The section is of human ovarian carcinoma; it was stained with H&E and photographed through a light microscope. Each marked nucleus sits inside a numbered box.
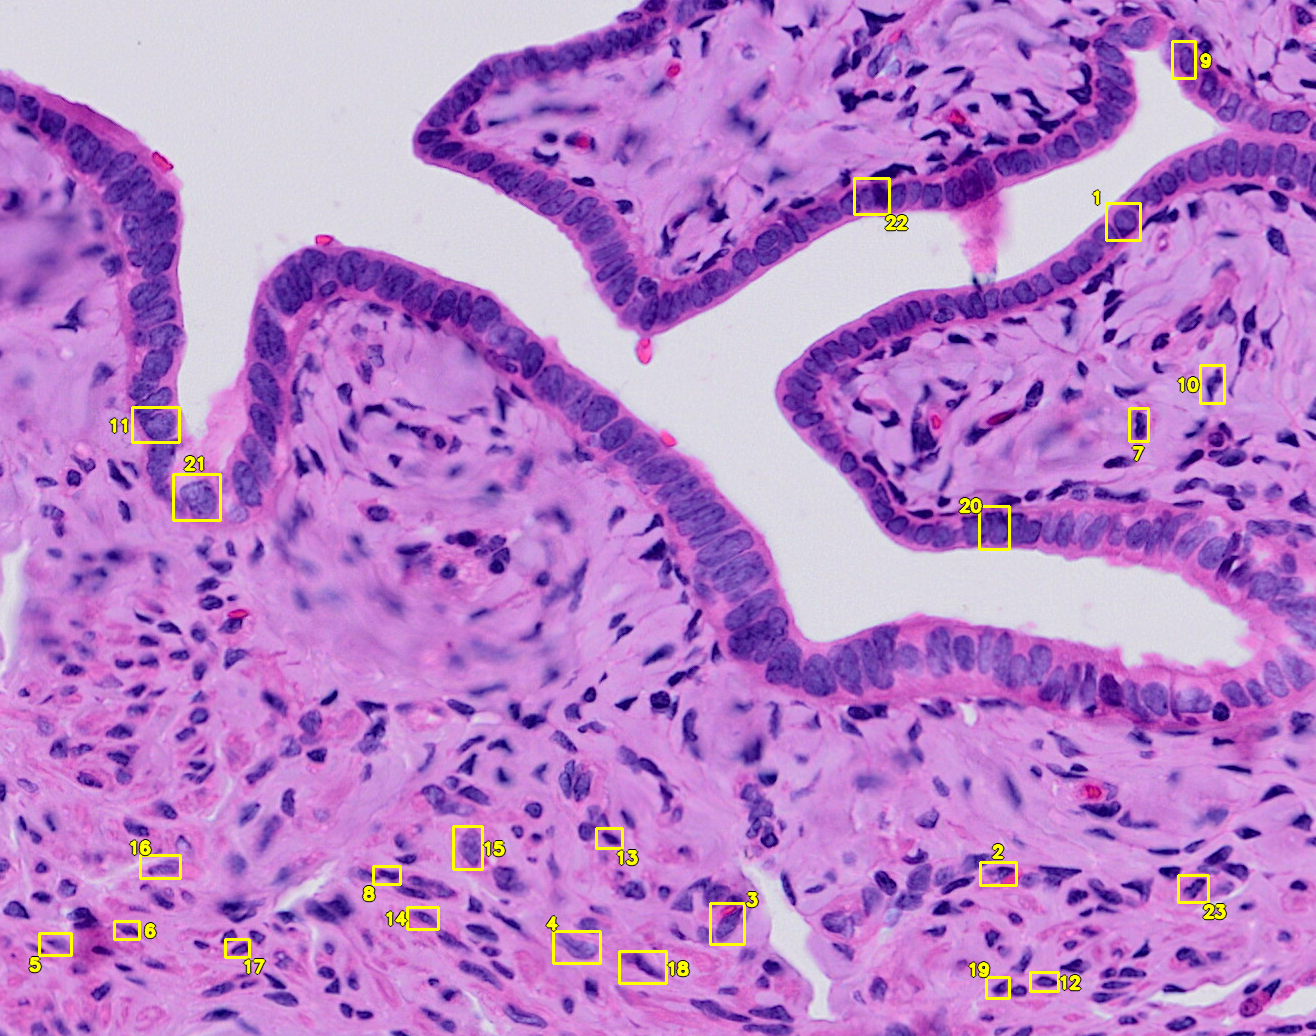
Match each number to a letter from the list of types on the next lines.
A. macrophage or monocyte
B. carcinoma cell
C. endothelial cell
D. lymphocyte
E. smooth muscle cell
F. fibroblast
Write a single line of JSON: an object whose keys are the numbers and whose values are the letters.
{"1": "B", "2": "C", "3": "C", "4": "E", "5": "E", "6": "E", "7": "C", "8": "E", "9": "B", "10": "F", "11": "B", "12": "E", "13": "E", "14": "E", "15": "C", "16": "E", "17": "E", "18": "E", "19": "E", "20": "B", "21": "B", "22": "B", "23": "C"}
